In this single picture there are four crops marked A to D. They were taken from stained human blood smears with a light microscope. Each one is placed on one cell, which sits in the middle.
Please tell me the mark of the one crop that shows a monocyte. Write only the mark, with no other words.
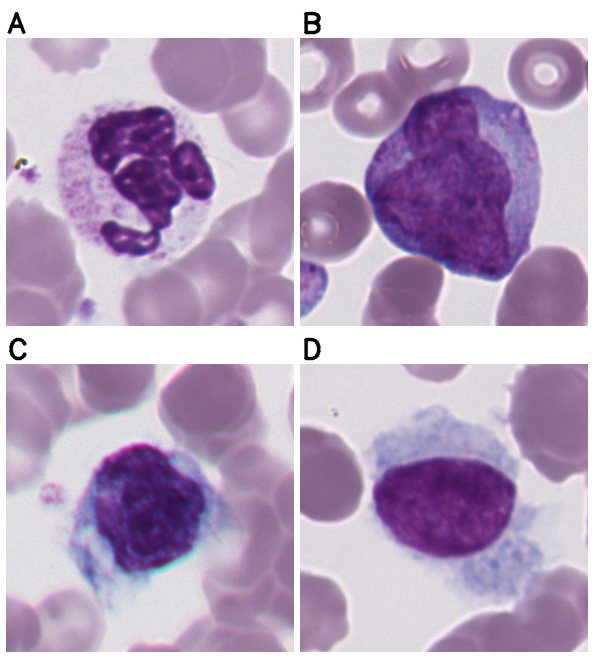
C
